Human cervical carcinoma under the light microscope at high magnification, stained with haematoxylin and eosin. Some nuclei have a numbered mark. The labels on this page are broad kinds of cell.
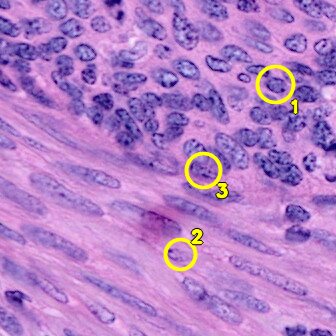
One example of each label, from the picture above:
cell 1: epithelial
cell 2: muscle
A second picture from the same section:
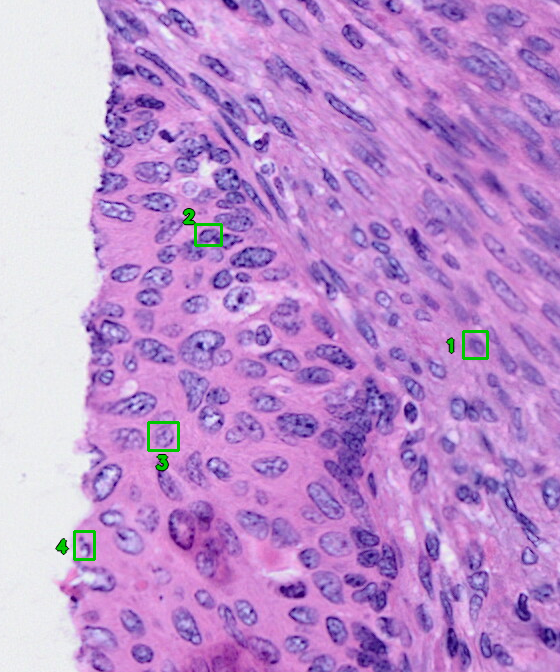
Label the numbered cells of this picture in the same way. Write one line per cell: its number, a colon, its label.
1: muscle
2: epithelial
3: epithelial
4: epithelial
